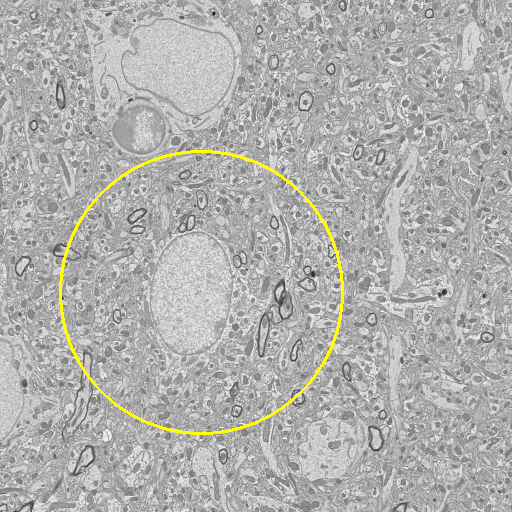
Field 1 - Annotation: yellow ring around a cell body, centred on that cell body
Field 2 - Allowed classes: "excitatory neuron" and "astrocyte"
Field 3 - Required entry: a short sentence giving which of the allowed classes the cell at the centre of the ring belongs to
The centred cell is an astrocyte.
